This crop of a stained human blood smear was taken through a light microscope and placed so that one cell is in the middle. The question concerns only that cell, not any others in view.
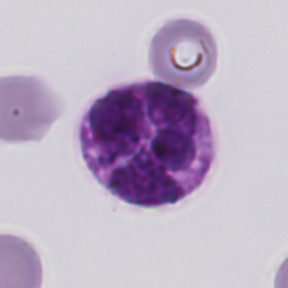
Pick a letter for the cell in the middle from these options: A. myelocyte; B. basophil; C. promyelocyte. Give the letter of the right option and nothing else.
B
